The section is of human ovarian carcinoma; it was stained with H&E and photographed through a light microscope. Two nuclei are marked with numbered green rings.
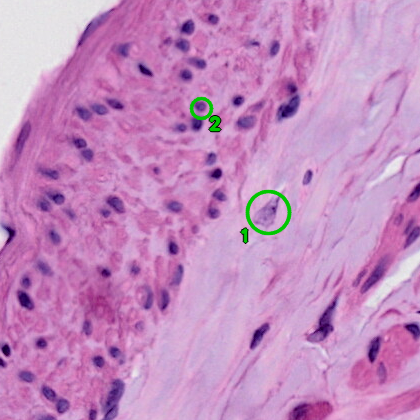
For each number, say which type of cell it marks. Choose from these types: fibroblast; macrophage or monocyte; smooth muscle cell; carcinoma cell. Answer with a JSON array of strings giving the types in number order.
["fibroblast", "smooth muscle cell"]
